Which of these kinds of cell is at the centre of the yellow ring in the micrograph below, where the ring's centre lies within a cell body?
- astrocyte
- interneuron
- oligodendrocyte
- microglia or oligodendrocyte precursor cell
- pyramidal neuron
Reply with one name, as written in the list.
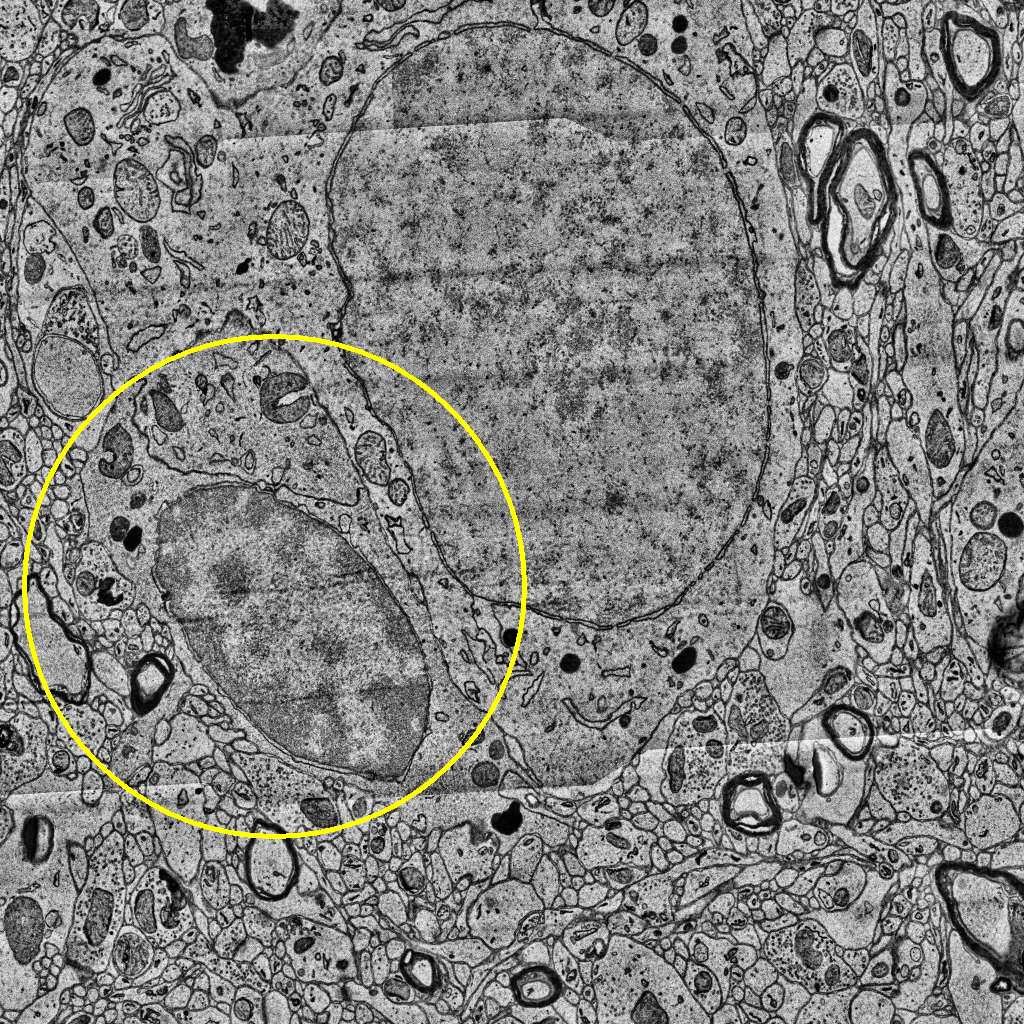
oligodendrocyte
